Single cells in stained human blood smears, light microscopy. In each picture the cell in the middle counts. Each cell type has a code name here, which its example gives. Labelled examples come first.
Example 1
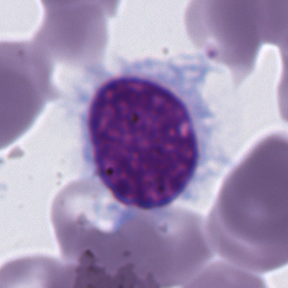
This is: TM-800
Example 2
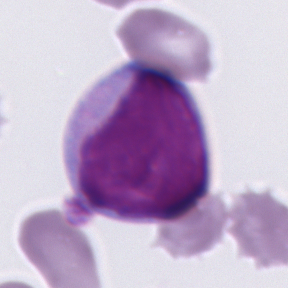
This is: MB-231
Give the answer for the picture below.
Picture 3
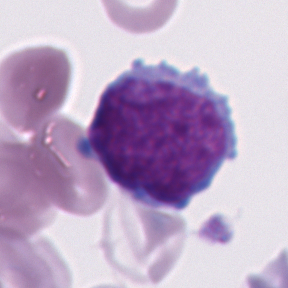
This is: MB-231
